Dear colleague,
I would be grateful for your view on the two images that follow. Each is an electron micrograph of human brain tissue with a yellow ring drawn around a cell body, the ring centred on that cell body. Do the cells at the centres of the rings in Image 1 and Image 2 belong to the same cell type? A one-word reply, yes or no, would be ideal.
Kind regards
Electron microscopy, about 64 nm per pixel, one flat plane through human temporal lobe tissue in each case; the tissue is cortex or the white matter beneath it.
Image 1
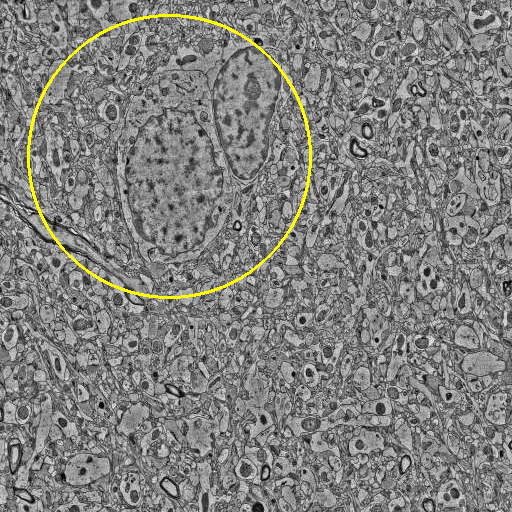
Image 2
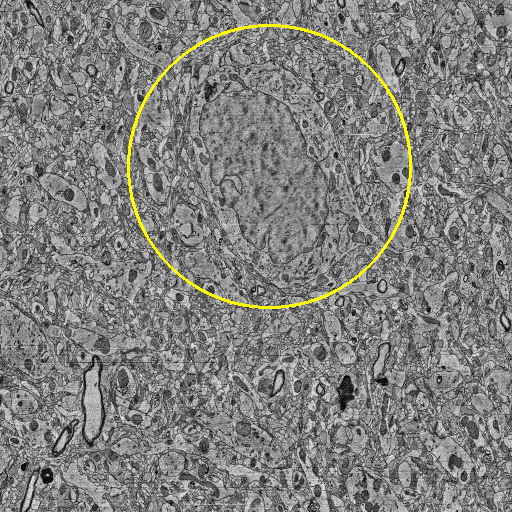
yes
